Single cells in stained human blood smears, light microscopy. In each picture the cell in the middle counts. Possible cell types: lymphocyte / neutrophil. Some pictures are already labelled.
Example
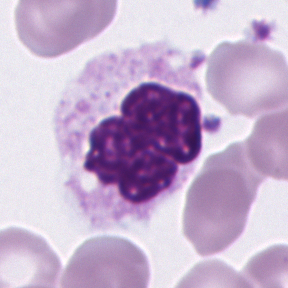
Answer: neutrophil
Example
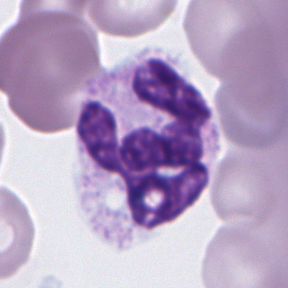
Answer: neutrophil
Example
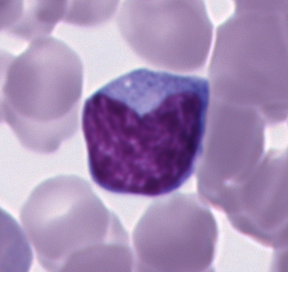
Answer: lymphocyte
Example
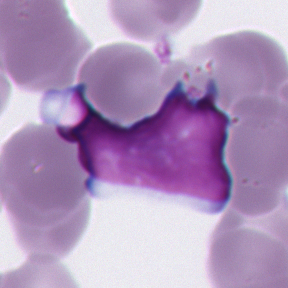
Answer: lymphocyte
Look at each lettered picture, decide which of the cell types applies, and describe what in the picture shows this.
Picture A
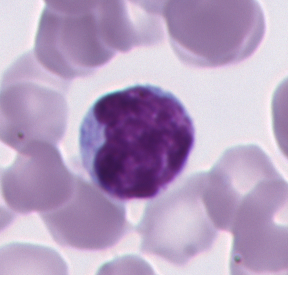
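lymphocyte. Evidence: The cytoplasm forms a thin rim that is widest on the left side.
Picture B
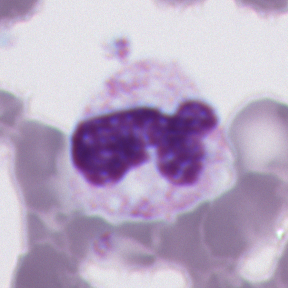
neutrophil. Evidence: The nucleus has two lobes joined by a broad connection.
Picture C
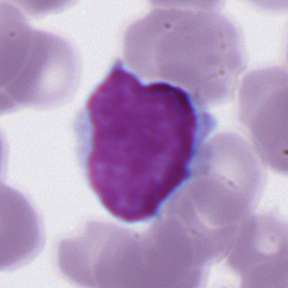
lymphocyte. Evidence: The cytoplasm forms only a thin rim around the nucleus.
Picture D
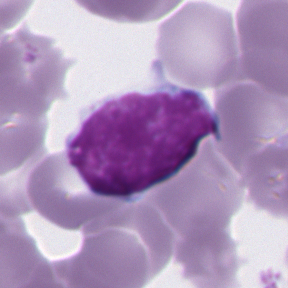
lymphocyte. Evidence: The nucleus fills almost the whole cell.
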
